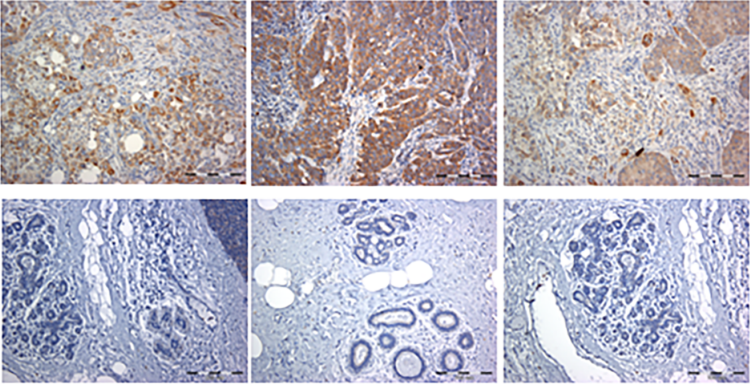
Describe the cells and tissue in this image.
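In the upper row, solid sheets and irregular nests of crowded epithelial cells invade a fibrous stroma, and their cytoplasm is stained brown, while scattered fat vacuoles and blue-stained stromal cells lie between them. In the lower row, small rounded lobules and ducts lined by tidy rows of epithelial cells sit in loose connective tissue and fat, stained only blue.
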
